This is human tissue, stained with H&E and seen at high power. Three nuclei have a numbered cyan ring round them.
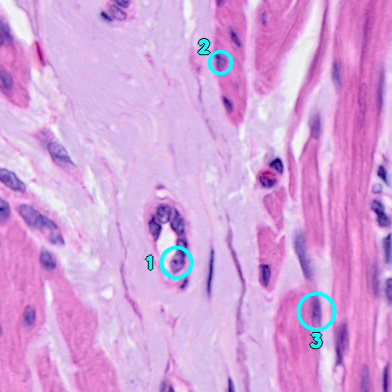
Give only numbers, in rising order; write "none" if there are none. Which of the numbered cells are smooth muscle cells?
2, 3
